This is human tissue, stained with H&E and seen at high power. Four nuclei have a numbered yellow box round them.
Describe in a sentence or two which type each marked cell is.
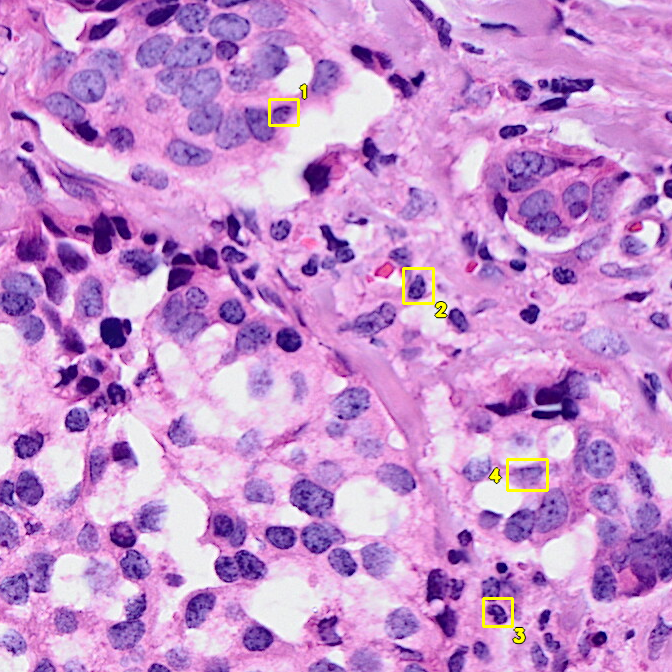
Cell 1 is a carcinoma cell, cell 2 is a lymphocyte, cell 3 is a lymphocyte and cell 4 is a carcinoma cell.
